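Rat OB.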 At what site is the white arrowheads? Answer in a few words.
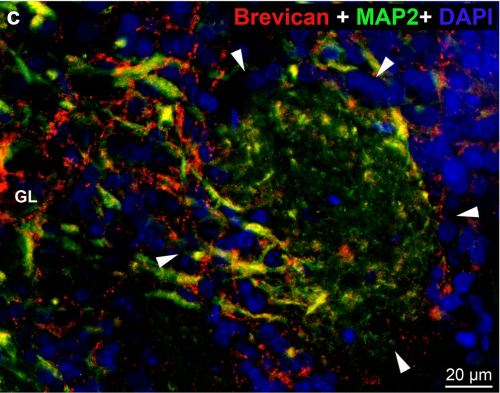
periglomerular area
